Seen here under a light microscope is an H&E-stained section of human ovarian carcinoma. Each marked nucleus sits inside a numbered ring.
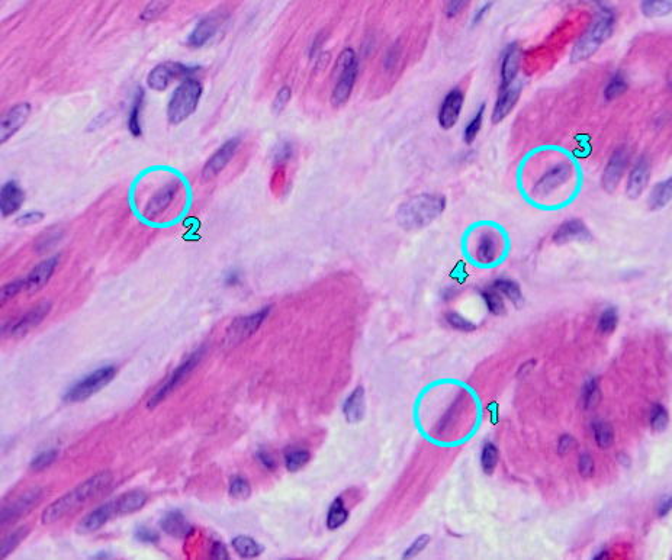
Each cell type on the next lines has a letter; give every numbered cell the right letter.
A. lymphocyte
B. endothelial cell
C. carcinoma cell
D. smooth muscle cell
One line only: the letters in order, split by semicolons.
D; D; D; B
